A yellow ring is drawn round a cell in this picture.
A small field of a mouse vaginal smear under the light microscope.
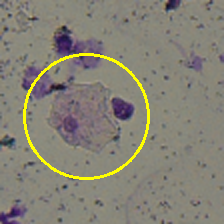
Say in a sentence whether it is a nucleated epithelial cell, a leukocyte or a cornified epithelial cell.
The cell in the ring is a nucleated epithelial cell.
